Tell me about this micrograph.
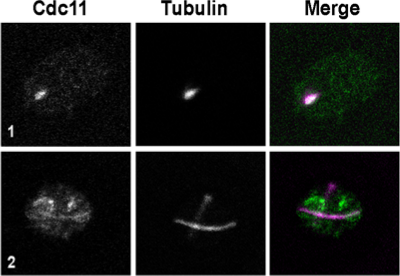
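In the upper cell the tubulin forms a single compact bright focus, and the green signal sits on it, so that the overlap appears white. In the lower cell the tubulin forms a long, slightly curved bar with a short branch, while the green signal lies as dots and short arcs spread around it and overlaps the bar only in part.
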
